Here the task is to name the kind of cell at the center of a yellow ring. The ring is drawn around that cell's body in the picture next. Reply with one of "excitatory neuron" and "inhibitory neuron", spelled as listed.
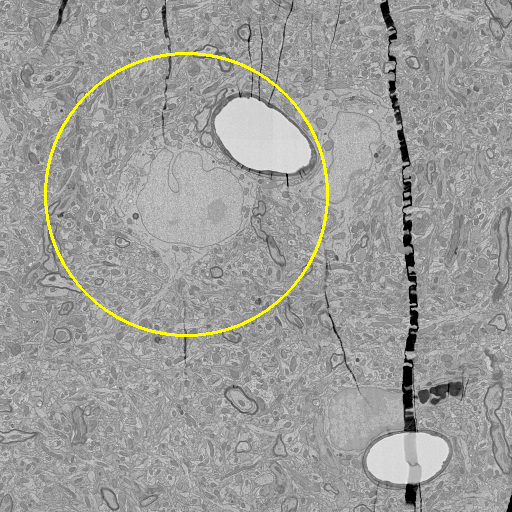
excitatory neuron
